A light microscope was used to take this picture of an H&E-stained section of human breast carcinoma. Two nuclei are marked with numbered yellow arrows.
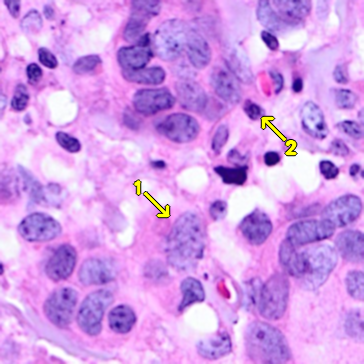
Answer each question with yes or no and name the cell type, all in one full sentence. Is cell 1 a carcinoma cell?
Yes, the cell whose nucleus carries number 1 is a carcinoma cell.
